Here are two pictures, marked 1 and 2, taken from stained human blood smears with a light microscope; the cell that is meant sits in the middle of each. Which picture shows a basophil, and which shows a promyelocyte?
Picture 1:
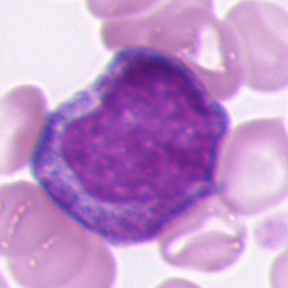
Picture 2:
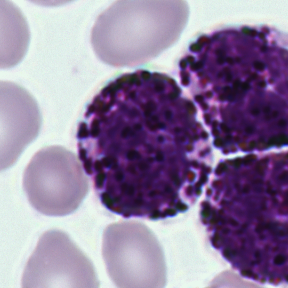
1: promyelocyte
2: basophil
